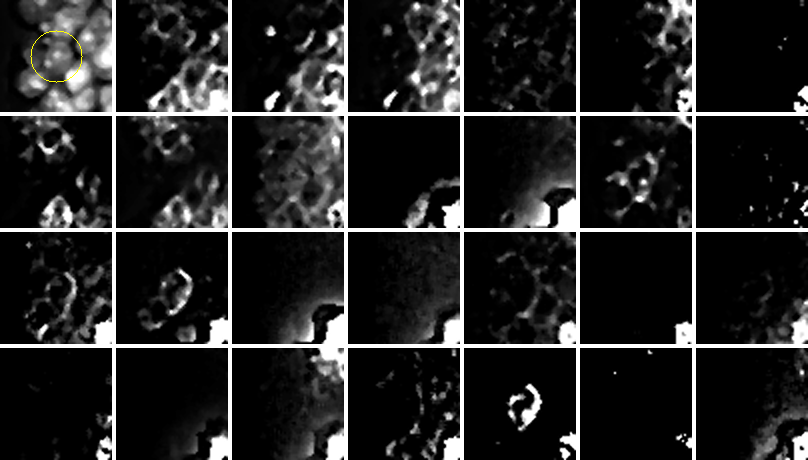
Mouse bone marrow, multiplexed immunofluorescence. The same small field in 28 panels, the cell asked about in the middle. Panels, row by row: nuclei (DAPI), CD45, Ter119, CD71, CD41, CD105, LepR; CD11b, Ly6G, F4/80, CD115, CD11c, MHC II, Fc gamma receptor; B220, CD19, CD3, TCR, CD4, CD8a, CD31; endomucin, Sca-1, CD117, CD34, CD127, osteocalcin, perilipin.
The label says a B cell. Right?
Wrong: this is a common lymphoid progenitor.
